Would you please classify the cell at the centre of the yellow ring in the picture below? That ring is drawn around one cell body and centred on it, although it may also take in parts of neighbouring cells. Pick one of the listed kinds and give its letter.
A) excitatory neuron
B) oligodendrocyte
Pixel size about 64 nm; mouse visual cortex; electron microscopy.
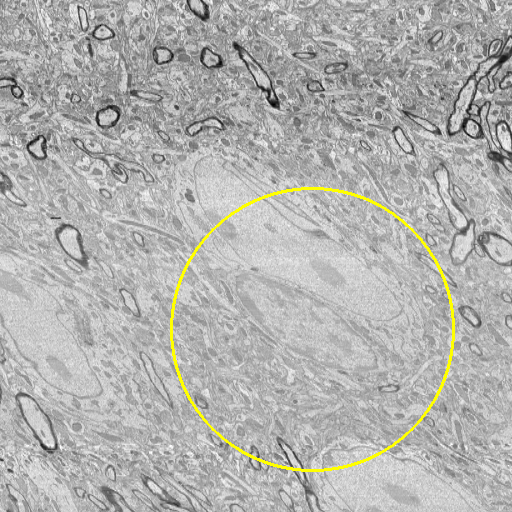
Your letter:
B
